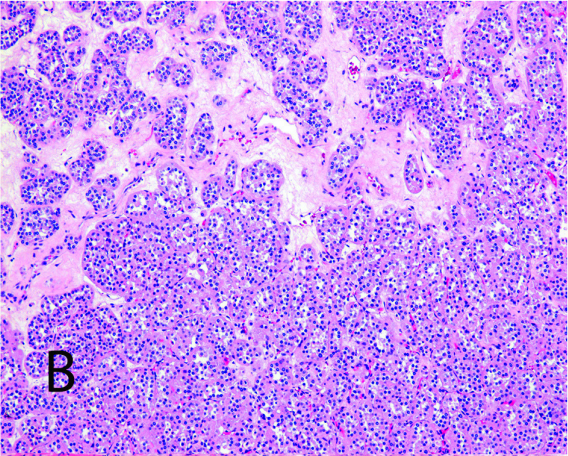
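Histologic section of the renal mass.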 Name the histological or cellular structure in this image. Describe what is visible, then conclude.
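The upper part has pale pink, loose-textured tissue with few nuclei. Small nests of tumour cells are scattered in this pale tissue.
Hypocellular, myxoid to fibrous edematous stroma.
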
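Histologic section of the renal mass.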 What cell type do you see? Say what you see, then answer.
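Oncocytic cells. Round to polygonal cells with small, round, dark nuclei. Cytoplasm is pink and finely granular. Cells are packed into nests.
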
